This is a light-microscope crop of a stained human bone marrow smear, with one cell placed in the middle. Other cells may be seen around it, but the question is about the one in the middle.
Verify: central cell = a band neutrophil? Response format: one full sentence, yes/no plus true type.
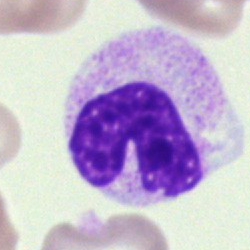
Yes, the cell at the heart of the crop is a band neutrophil.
